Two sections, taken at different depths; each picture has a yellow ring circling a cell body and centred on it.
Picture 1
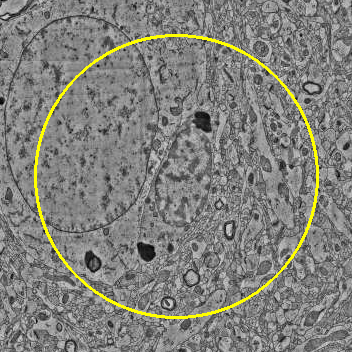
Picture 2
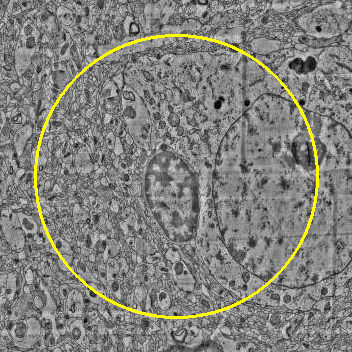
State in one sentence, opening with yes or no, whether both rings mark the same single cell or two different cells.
No, the circled cells number two, not one.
